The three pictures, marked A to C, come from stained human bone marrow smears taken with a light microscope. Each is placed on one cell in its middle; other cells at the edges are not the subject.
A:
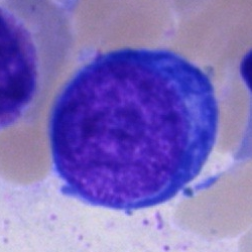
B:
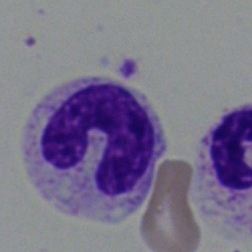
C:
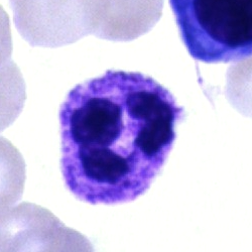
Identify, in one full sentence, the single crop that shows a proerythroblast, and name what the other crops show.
Whereas crop B is a band neutrophil and crop C is a segmented neutrophil, the cell at the centre of crop A is a proerythroblast.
